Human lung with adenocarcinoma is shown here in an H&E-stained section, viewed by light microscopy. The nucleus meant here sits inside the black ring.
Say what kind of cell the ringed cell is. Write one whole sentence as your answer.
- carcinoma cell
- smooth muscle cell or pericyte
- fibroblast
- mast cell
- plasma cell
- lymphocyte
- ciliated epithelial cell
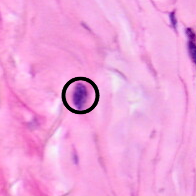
In the tissue at hand, the ringed cell is a mast cell.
